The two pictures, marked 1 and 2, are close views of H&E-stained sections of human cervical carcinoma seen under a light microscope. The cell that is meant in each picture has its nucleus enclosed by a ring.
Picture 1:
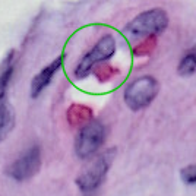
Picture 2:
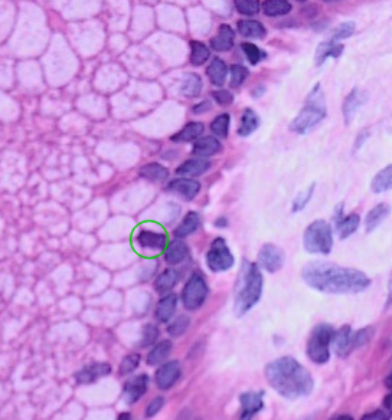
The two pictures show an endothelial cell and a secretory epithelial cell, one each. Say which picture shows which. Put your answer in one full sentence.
The cell in picture 1 is an endothelial cell, and the one in picture 2 is a secretory epithelial cell.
